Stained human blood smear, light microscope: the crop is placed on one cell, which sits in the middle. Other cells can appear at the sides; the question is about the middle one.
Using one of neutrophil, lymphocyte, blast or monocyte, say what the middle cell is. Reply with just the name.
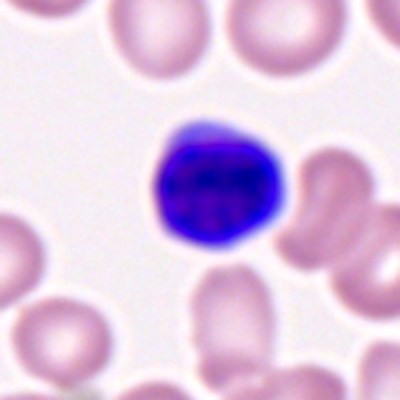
lymphocyte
